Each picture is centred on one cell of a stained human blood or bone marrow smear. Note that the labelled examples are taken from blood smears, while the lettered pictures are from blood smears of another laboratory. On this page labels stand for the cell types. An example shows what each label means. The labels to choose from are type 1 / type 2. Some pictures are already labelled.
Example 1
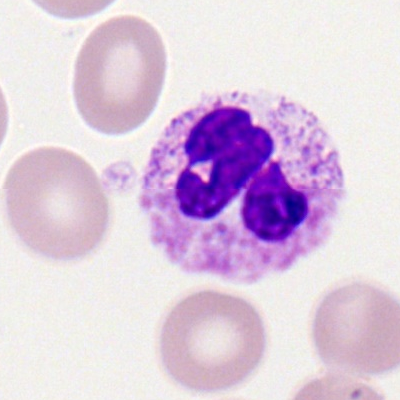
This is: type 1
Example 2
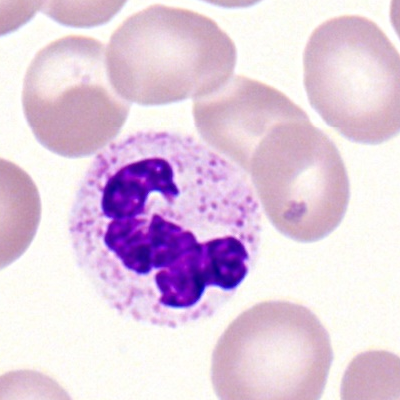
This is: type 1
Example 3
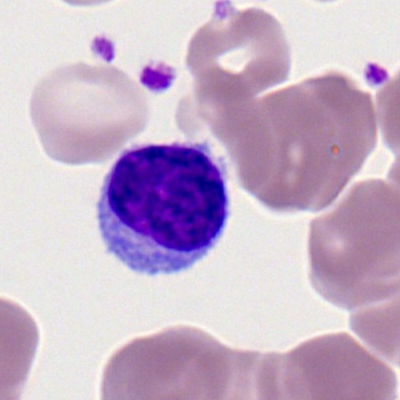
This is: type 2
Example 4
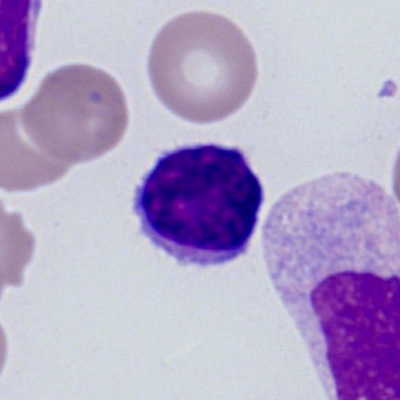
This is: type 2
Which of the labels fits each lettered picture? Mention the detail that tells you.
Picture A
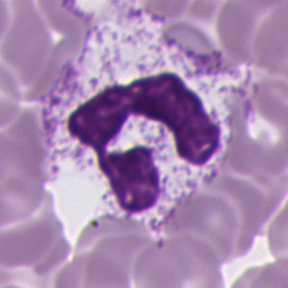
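type 1. Reason: The cytoplasm is abundant and very pale, almost colourless.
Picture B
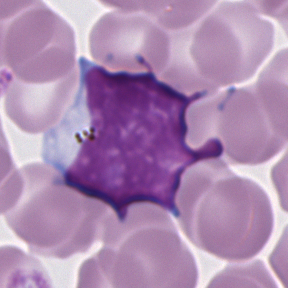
type 2. Reason: The nucleus fills most of the cell.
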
